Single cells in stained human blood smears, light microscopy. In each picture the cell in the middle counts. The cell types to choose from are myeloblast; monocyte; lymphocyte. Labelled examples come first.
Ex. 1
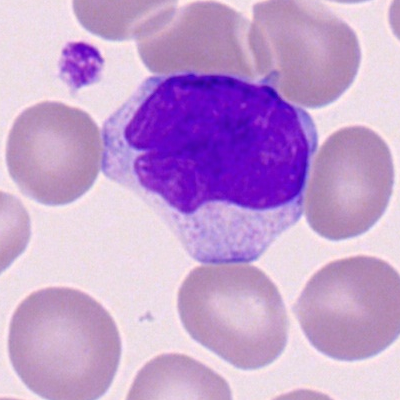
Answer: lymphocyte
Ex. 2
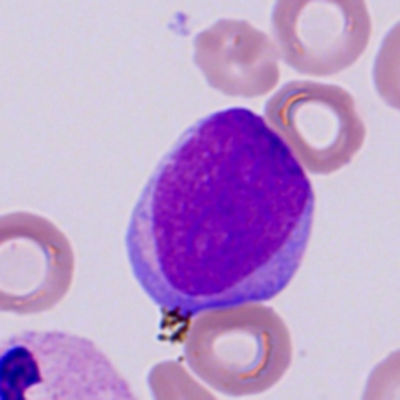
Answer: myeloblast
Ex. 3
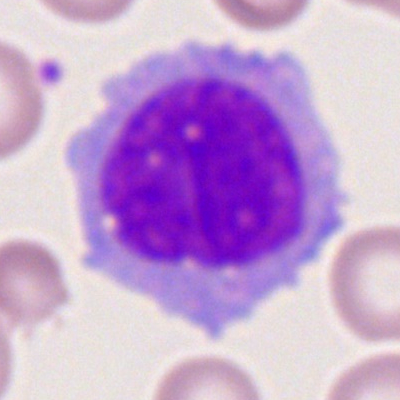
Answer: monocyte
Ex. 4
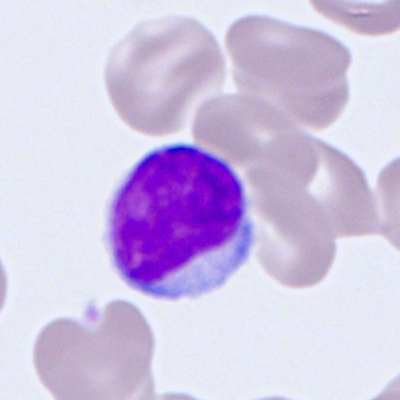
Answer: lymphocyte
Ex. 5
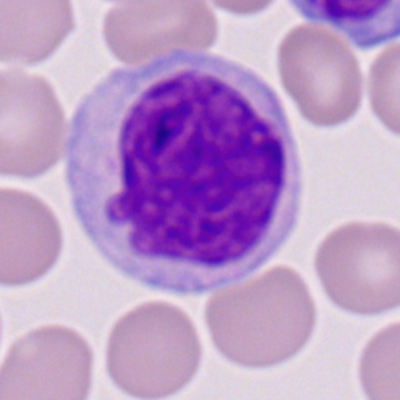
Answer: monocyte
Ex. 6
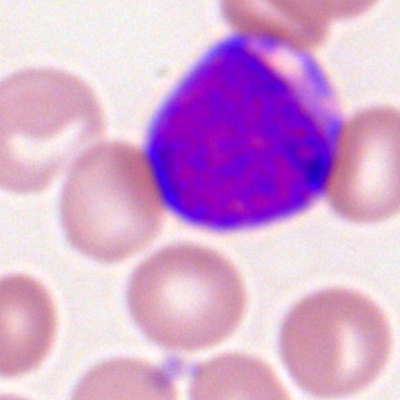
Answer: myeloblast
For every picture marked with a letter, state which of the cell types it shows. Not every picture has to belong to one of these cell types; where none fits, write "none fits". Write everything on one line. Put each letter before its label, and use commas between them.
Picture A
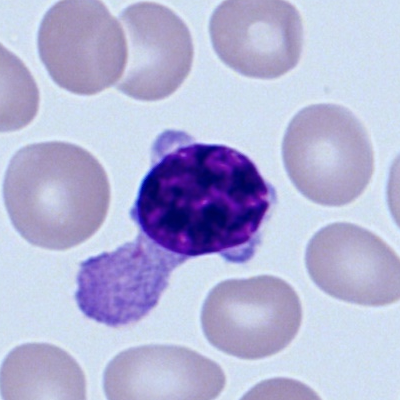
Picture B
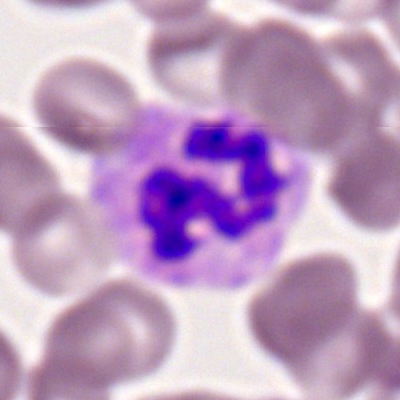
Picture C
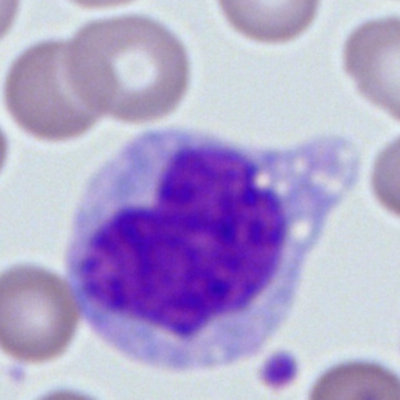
A lymphocyte, B none fits, C monocyte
